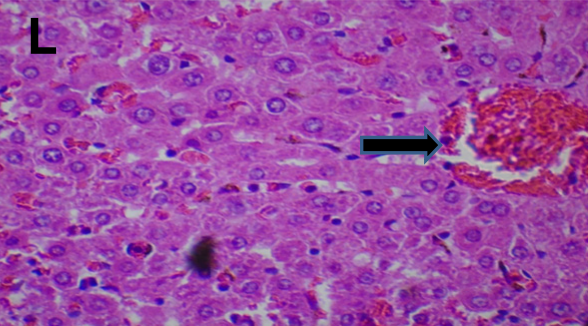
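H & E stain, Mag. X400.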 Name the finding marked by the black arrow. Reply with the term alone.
Congestion.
